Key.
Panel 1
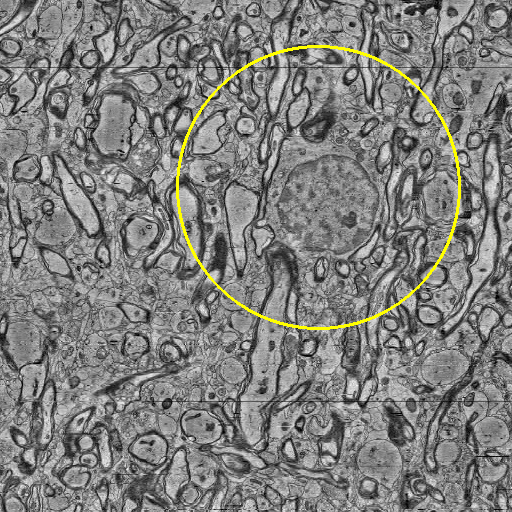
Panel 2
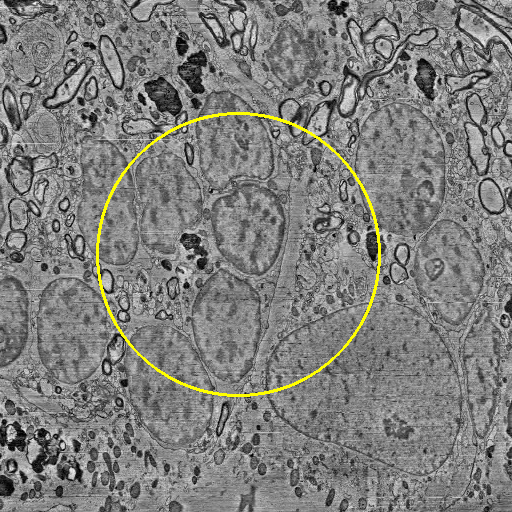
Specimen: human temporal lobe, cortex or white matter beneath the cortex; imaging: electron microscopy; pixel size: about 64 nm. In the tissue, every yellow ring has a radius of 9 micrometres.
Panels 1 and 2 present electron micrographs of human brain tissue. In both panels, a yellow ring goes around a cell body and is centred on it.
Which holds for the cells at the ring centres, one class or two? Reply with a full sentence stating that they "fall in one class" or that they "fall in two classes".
Taken together, the ring-centre cells of the two panels fall in one class.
